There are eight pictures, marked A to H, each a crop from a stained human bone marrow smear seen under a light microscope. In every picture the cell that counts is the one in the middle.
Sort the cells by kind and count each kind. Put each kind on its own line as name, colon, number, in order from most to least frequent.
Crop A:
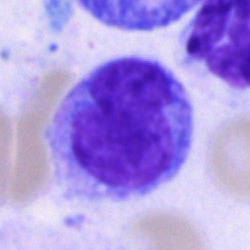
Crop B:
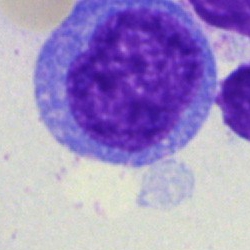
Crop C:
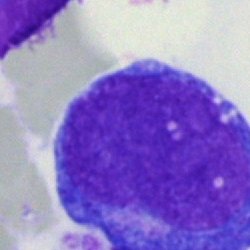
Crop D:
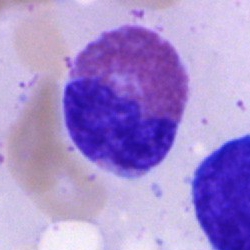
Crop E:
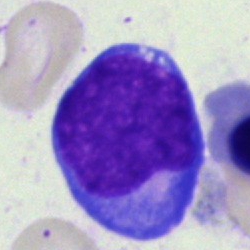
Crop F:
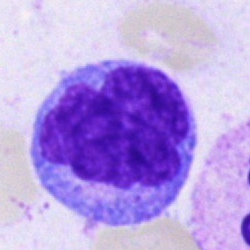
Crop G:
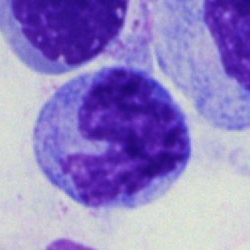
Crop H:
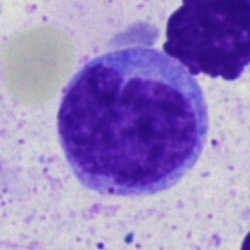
monocyte: 4
blast: 3
eosinophil: 1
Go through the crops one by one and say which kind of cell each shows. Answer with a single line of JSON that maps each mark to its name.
{"A": "monocyte", "B": "blast", "C": "blast", "D": "eosinophil", "E": "blast", "F": "monocyte", "G": "monocyte", "H": "monocyte"}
